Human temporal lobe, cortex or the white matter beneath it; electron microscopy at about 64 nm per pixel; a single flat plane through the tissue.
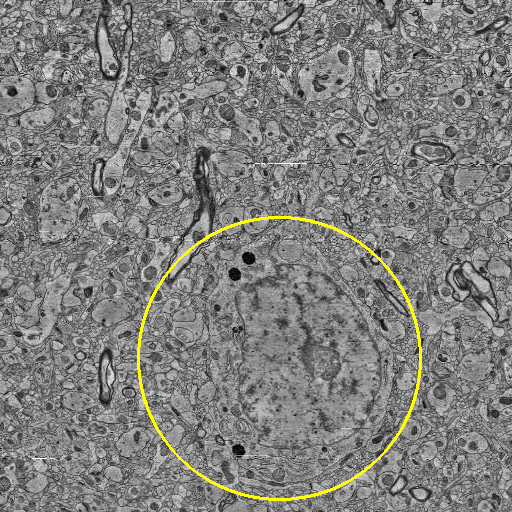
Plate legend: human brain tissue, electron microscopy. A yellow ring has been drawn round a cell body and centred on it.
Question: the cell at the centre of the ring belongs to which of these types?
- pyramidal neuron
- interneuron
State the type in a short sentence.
The cell in the middle of the ring is an interneuron.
